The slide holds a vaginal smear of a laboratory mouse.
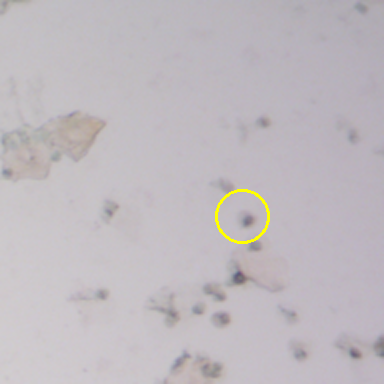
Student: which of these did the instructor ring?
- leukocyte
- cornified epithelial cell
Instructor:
The cell I ringed is a leukocyte.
